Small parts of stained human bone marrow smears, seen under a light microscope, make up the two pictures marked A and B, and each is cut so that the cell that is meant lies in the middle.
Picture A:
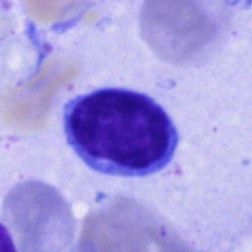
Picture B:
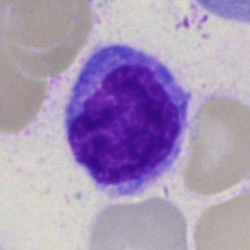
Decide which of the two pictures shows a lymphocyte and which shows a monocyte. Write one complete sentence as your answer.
Picture B shows a monocyte, while picture A shows a lymphocyte.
